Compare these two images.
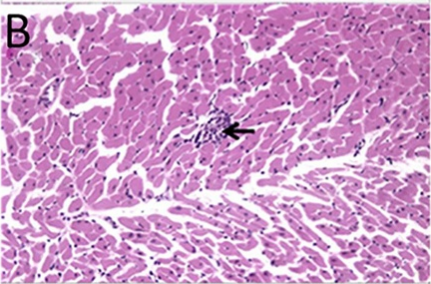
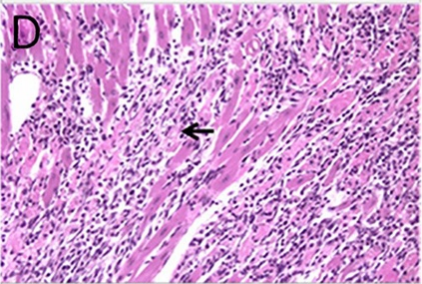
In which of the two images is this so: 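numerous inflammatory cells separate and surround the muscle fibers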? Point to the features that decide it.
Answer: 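Second image: dense sheets of small dark nuclei lie between and around the pink fibers, pushing them apart. First image: muscle fibers lie close together with only one small cluster of dark nuclei. On this evidence: the second image.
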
